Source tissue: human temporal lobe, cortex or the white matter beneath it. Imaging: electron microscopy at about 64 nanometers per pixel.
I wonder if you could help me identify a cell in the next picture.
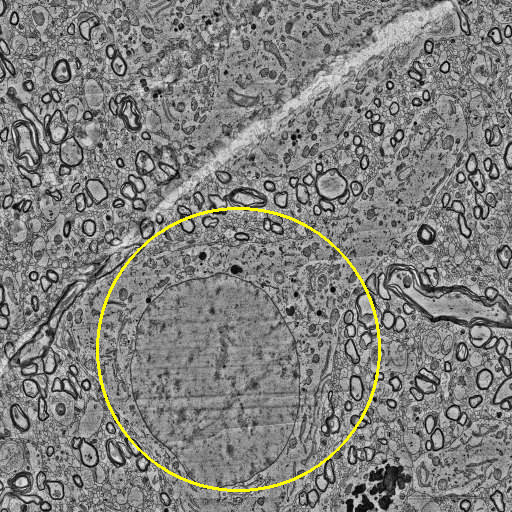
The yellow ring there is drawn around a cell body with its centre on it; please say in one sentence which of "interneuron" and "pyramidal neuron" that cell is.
The yellow ring is centred on a pyramidal neuron.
